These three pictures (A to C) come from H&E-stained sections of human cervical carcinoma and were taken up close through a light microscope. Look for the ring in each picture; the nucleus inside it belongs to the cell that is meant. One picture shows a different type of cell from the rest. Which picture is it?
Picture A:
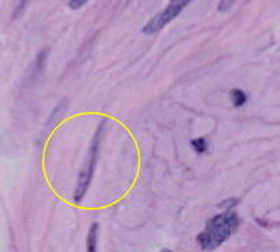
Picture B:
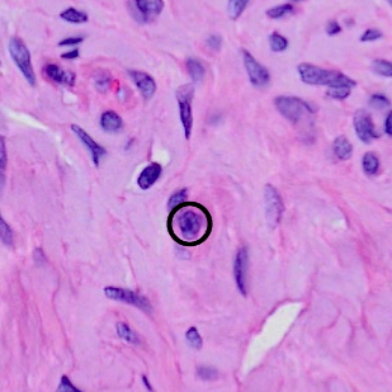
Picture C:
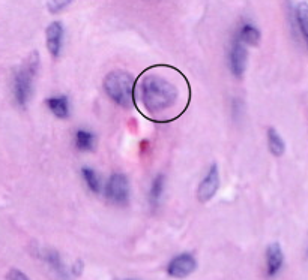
A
